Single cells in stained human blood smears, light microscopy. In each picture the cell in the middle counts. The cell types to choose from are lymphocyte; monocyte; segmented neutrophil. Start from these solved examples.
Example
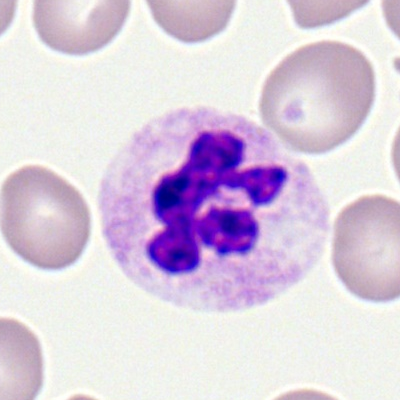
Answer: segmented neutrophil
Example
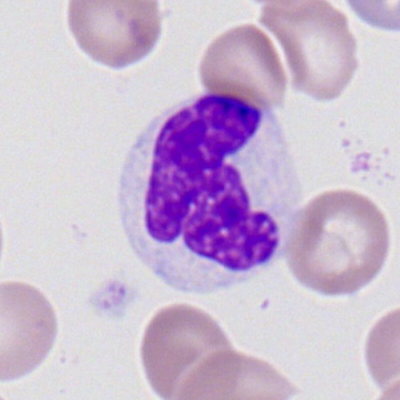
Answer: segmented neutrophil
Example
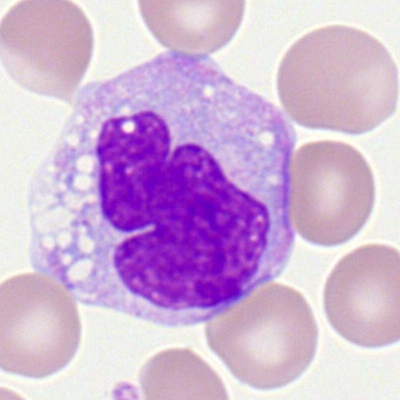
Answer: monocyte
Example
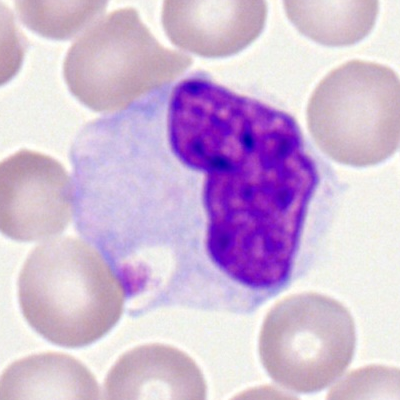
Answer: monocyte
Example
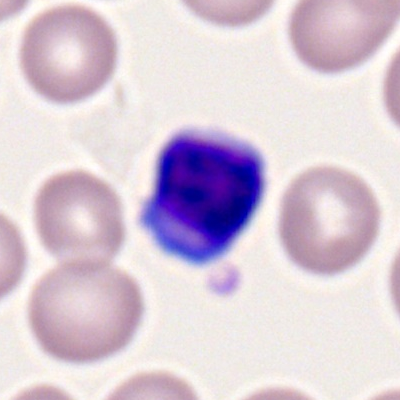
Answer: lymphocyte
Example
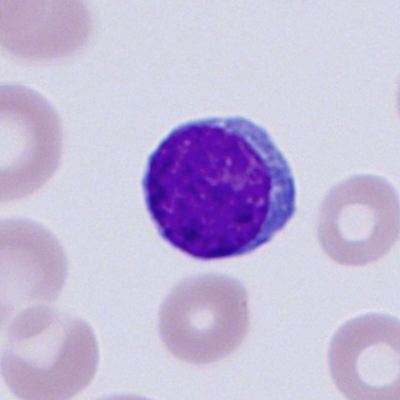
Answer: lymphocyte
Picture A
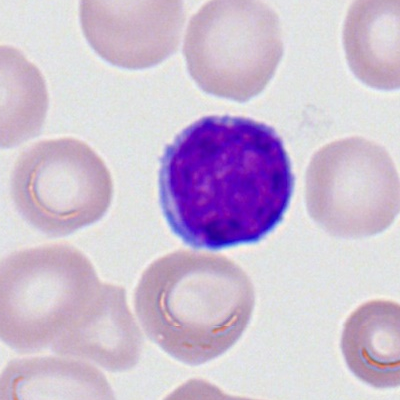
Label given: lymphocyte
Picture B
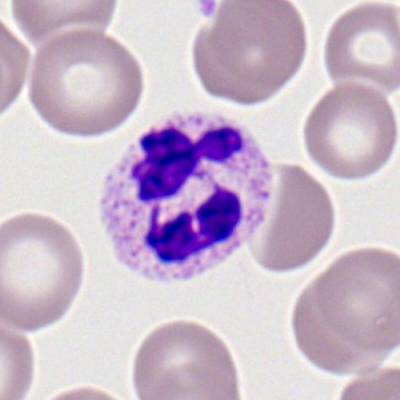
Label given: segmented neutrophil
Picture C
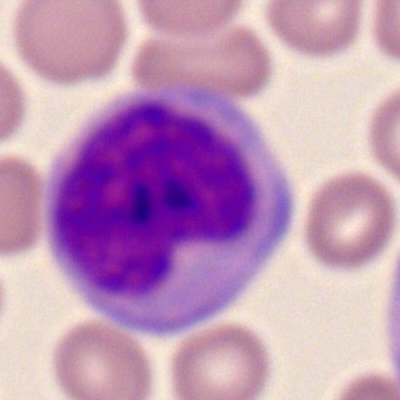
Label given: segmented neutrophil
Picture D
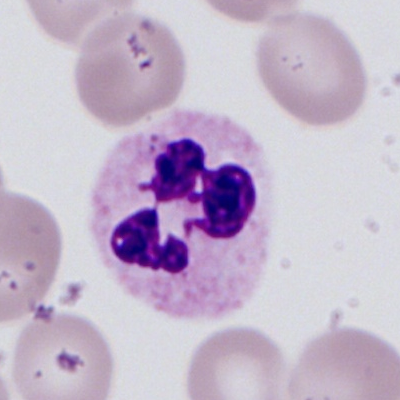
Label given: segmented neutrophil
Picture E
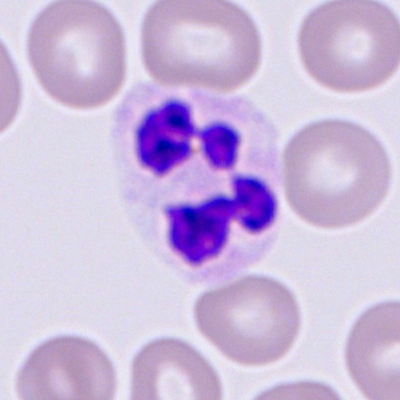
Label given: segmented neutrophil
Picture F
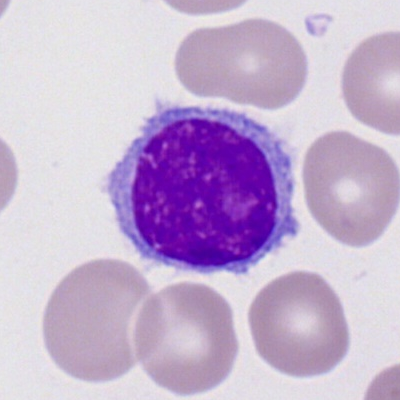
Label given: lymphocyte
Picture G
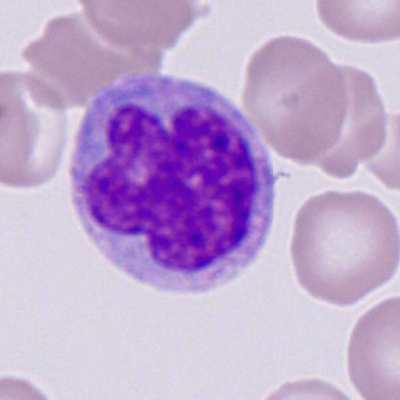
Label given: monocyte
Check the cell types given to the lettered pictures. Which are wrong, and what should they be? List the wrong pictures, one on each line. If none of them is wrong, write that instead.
C is labelled segmented neutrophil; correct label: monocyte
